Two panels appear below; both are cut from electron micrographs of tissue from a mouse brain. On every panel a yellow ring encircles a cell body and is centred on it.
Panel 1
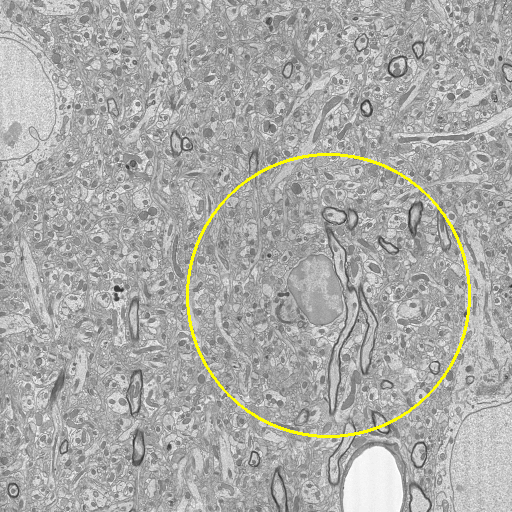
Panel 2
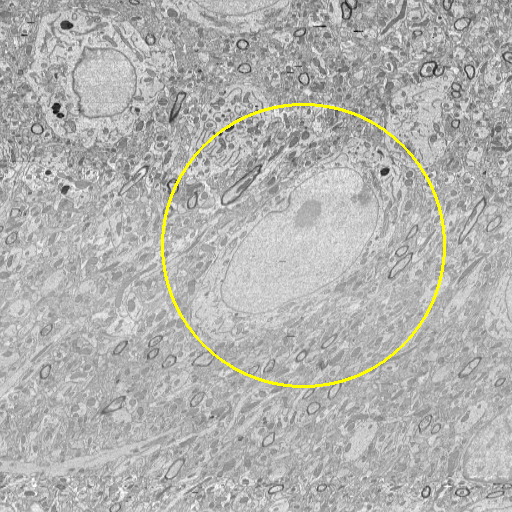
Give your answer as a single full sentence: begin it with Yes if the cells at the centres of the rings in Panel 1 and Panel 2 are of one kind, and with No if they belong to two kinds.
No, the cells in the middle of the rings in Panels 1 and 2 are of two kinds.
